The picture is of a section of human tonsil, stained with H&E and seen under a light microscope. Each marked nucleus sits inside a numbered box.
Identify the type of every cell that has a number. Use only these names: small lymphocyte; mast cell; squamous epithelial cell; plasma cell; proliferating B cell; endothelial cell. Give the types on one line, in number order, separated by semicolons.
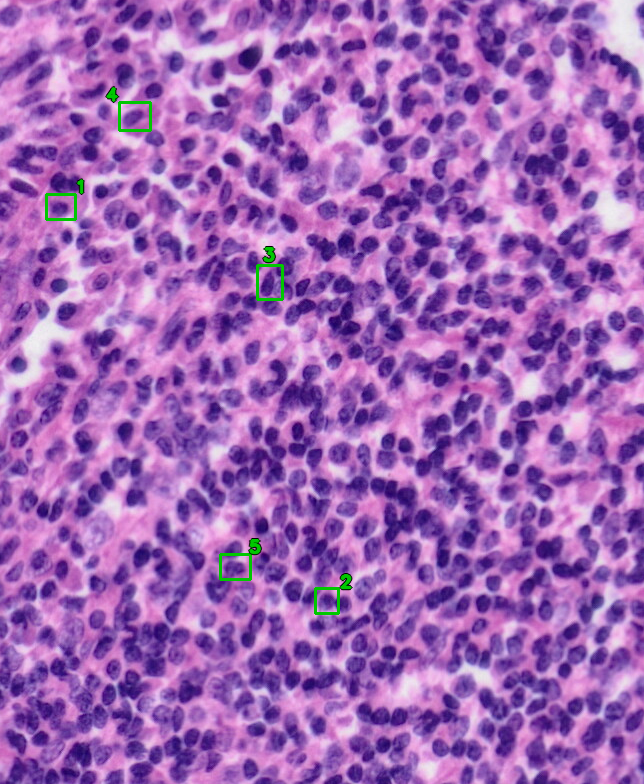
plasma cell; small lymphocyte; small lymphocyte; plasma cell; small lymphocyte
